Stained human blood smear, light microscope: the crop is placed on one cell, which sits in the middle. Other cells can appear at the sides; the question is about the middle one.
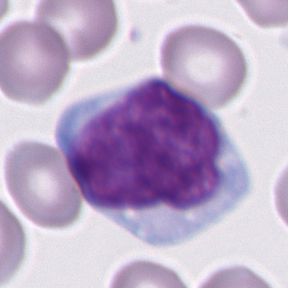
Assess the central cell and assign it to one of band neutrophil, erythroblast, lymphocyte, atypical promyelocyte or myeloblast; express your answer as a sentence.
Where the crop is centred, there is a myeloblast.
